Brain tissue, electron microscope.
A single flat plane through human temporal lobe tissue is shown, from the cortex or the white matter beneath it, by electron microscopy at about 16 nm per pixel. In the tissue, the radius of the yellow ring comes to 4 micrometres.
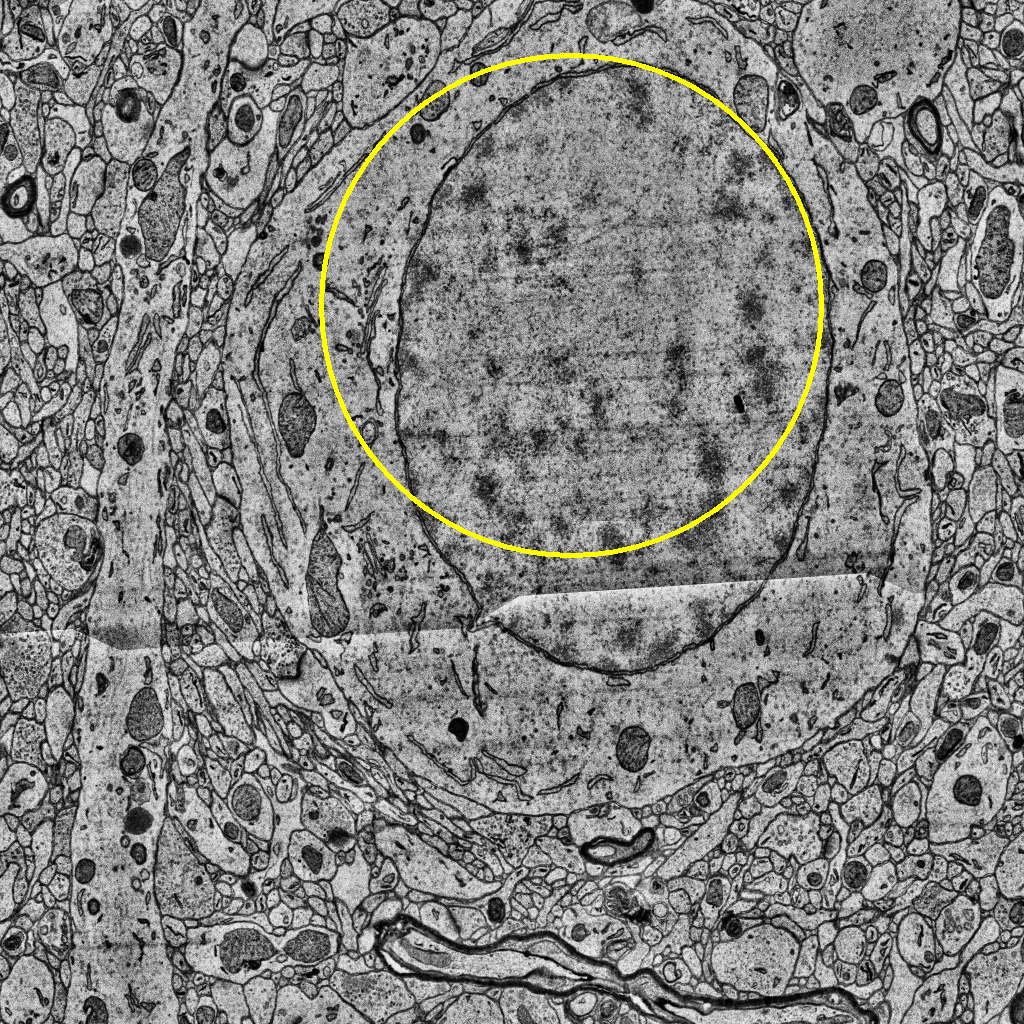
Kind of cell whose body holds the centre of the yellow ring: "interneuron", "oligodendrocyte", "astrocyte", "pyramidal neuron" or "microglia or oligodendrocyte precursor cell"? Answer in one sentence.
The ring's centre falls on a pyramidal neuron.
